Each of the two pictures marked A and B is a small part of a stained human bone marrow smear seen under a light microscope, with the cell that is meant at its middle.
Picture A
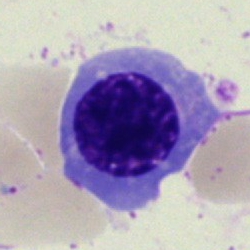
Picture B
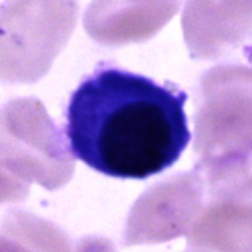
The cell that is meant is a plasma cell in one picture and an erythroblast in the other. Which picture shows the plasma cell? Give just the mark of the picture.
B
